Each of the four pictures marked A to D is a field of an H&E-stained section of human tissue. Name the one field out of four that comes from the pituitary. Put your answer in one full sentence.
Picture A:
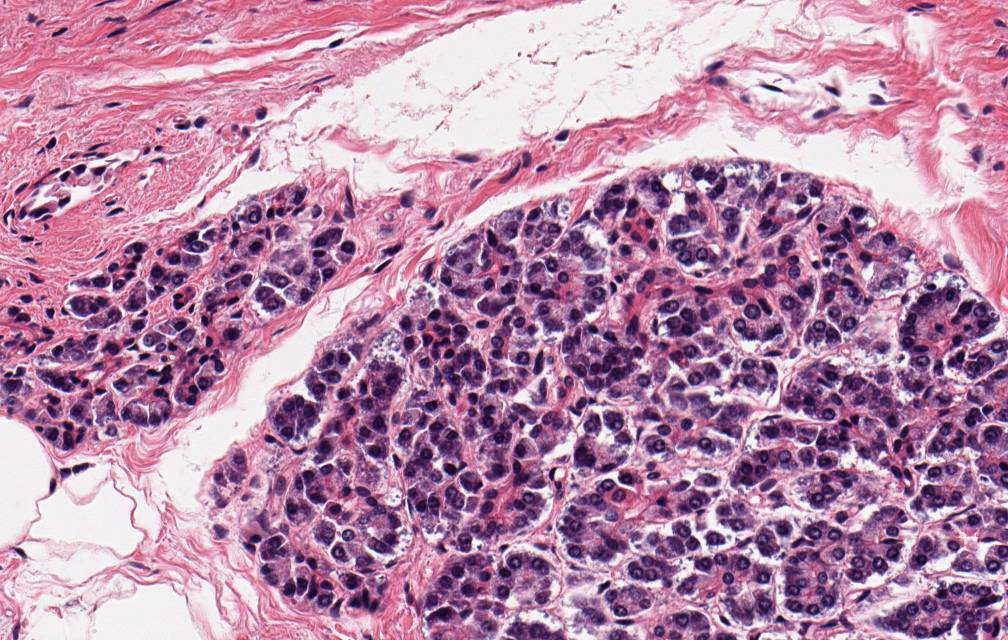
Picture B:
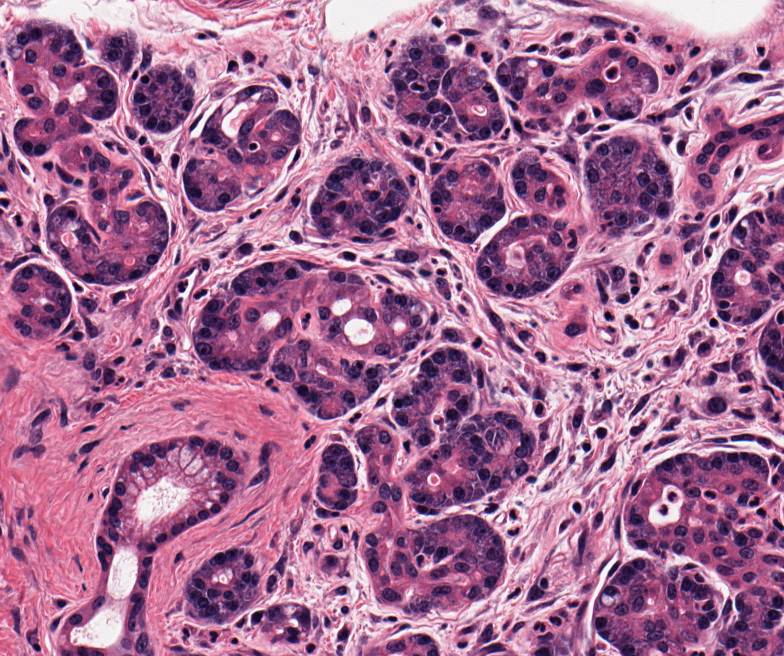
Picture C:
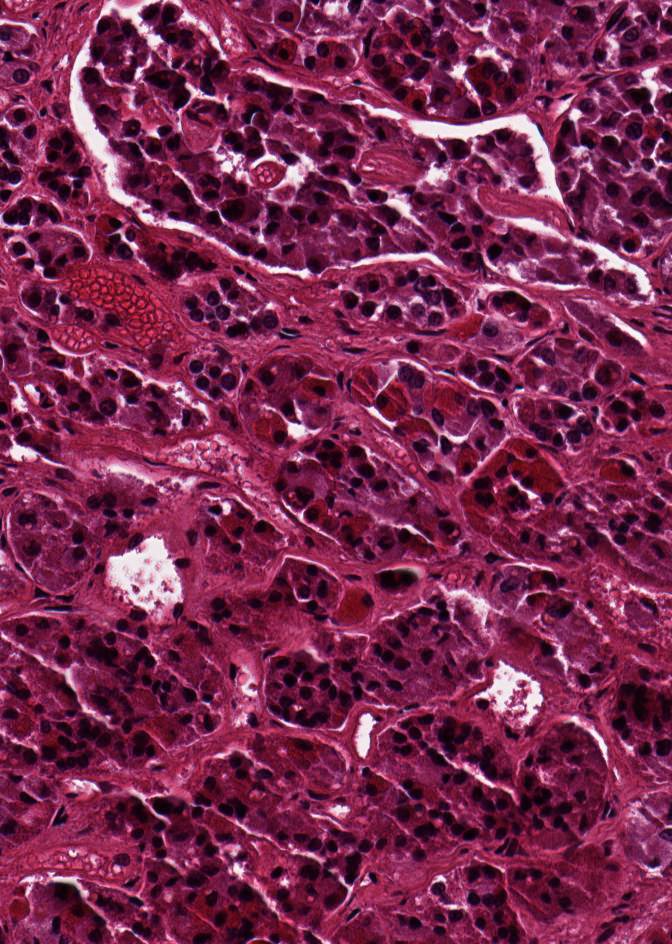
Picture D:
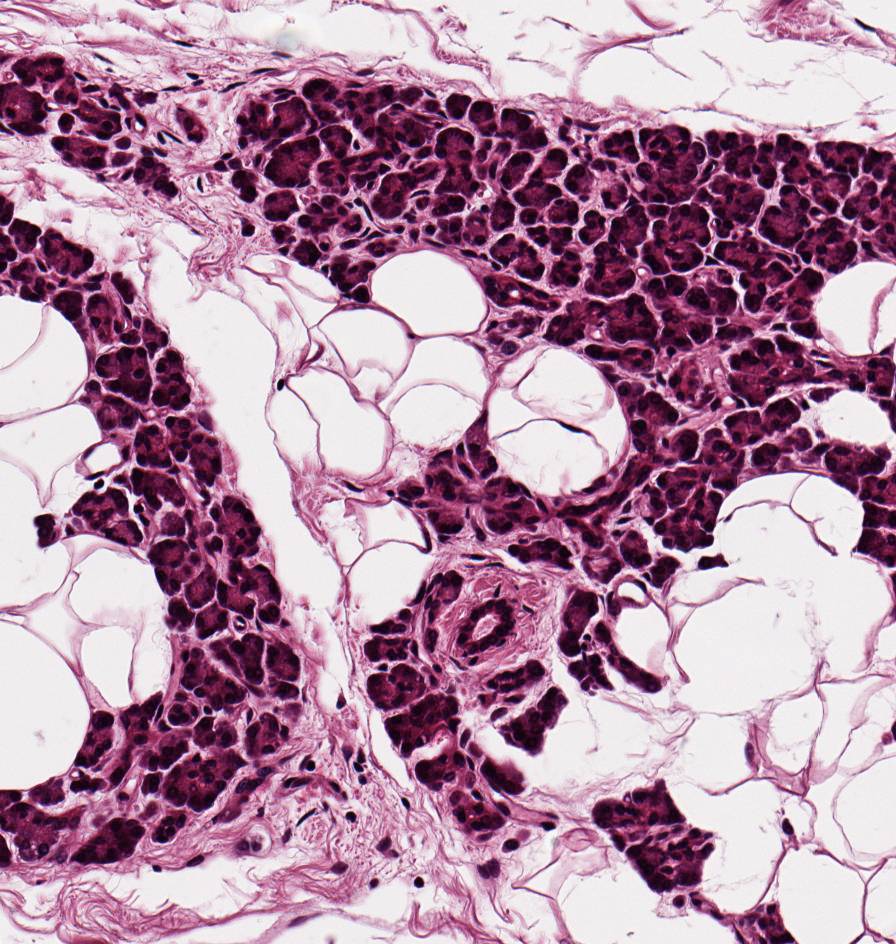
The one that comes from the pituitary is picture C.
